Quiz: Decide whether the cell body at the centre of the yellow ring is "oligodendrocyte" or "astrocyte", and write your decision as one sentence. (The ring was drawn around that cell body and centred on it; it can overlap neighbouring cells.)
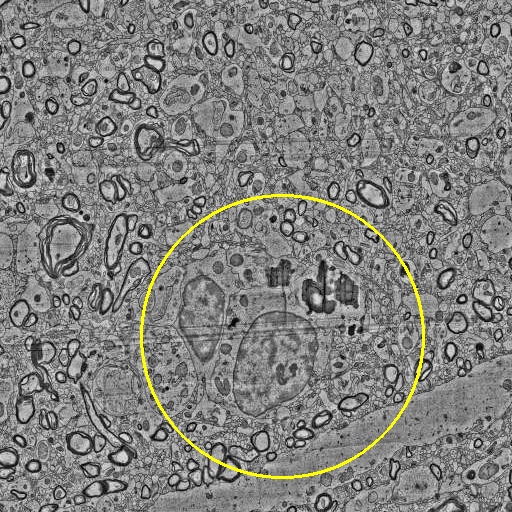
The cell the ring is centred on is an oligodendrocyte.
